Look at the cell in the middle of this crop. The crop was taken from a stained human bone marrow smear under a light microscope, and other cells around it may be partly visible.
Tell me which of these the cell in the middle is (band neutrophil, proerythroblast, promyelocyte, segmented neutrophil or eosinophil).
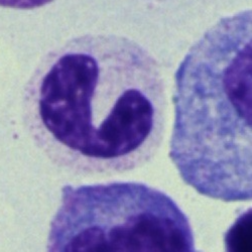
band neutrophil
